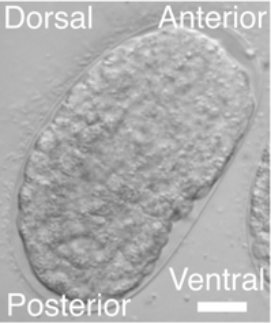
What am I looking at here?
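A nematode embryo lies inside a thin, transparent oval eggshell, filling most of it. It is made of a great many small, rounded cells packed closely together, giving a granular, cobbled texture in relief. The mass is broadly oval, with a shallow indentation beginning along one side where a gap opens between the cells and the shell. Faint outlines of neighbouring eggs are seen at the edge of the field.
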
